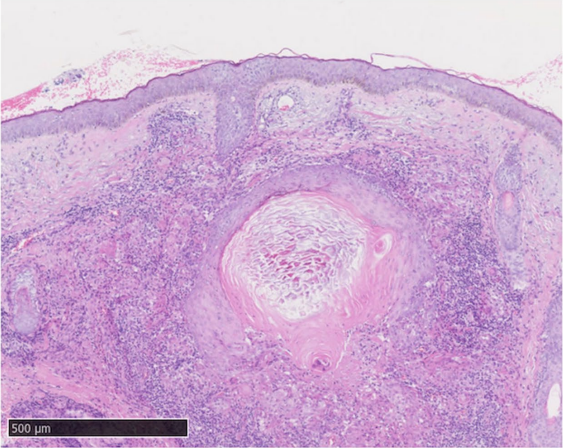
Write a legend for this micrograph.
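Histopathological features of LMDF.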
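This is skin with a keratin cyst in the dermis beneath the epidermis. In the centre lies a round cavity filled with pale pink, flaky, layered keratin. Its wall is made of a band of pink squamous epithelium, thicker on one side. All around the cyst the dermis is crowded with small cells with dark purple nuclei, a dense lymphocytic infiltrate that also spreads up toward the epidermis. The epidermis on top is a fairly thin, even layer of purple keratinocytes, and hair follicles can be seen at the edges of the field.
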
